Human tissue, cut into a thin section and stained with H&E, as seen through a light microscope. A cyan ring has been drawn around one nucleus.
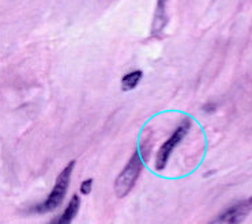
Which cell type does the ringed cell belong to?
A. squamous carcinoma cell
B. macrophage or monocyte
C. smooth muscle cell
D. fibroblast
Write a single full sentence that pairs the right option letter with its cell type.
What option D states, that the ringed cell is a fibroblast, is correct.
